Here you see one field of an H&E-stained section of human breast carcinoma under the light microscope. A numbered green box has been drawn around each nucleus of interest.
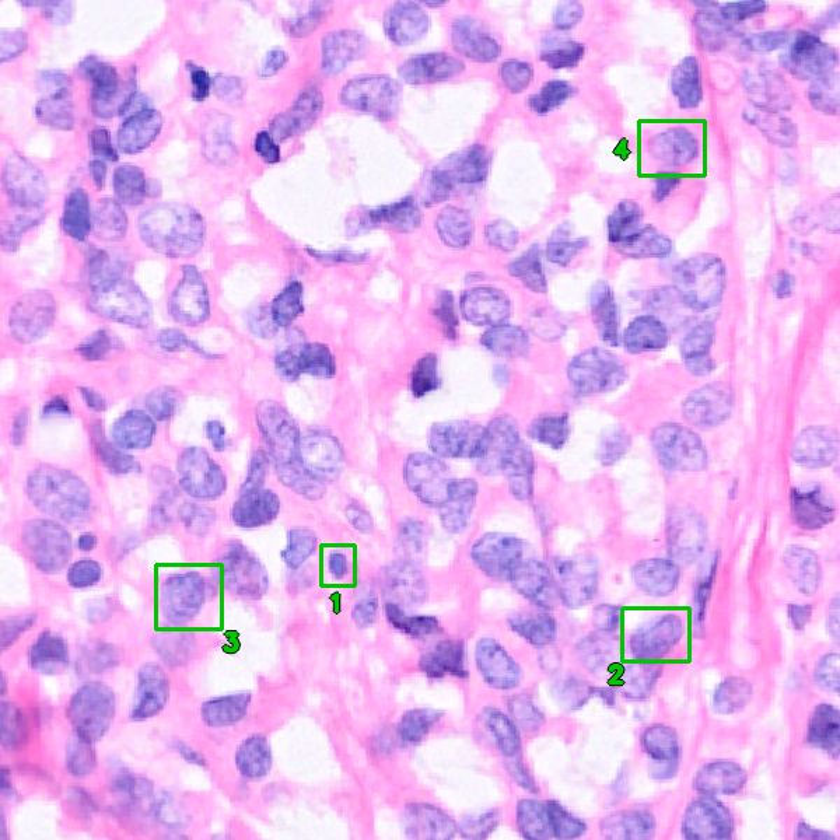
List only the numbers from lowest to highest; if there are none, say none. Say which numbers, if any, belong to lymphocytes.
1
